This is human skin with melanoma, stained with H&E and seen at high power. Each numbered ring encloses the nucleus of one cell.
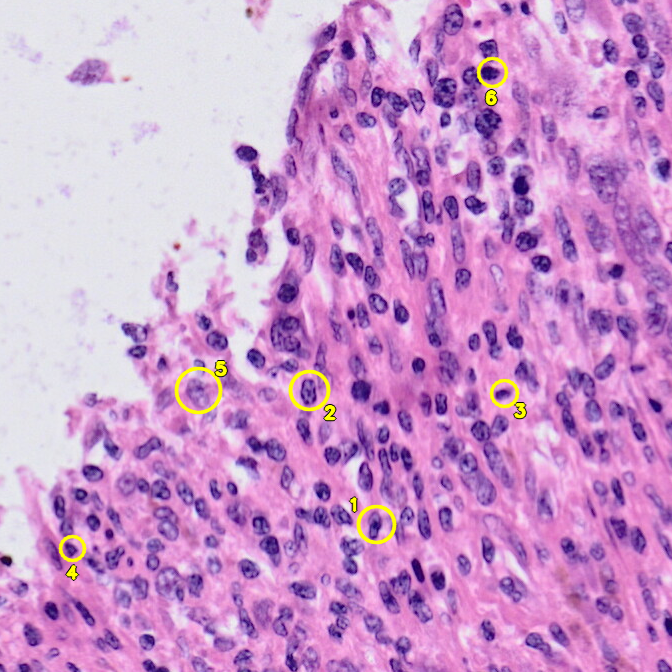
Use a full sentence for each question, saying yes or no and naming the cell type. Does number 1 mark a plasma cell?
No, cell 1 isn't a plasma cell; it's a lymphocyte.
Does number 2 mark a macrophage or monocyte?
No, sorry, the cell labelled 2 is not a macrophage or monocyte; it is a lymphocyte.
